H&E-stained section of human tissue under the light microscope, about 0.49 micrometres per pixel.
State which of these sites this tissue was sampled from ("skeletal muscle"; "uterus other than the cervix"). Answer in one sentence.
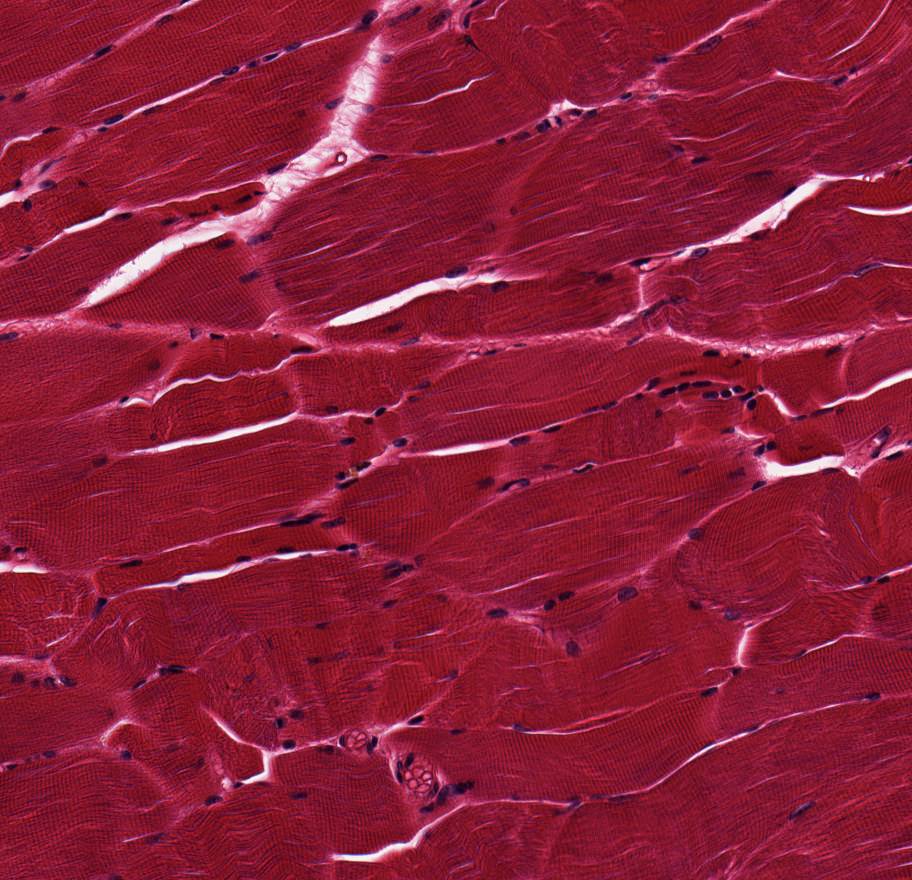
The site this tissue was sampled from is the skeletal muscle.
